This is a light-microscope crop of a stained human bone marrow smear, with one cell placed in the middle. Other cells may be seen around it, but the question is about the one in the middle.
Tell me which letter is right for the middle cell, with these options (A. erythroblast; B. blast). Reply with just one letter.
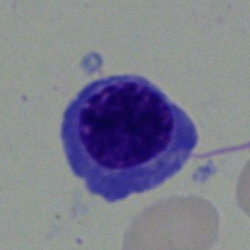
A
